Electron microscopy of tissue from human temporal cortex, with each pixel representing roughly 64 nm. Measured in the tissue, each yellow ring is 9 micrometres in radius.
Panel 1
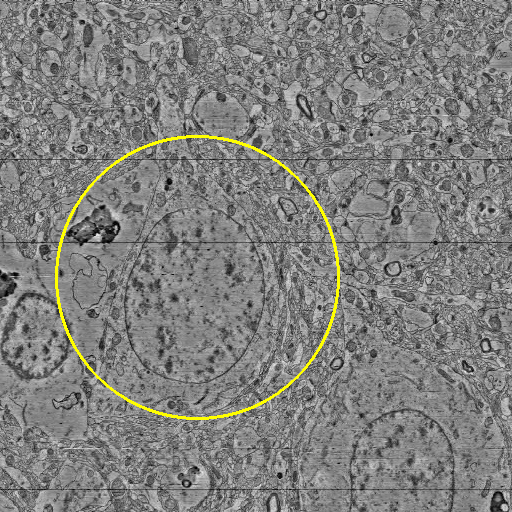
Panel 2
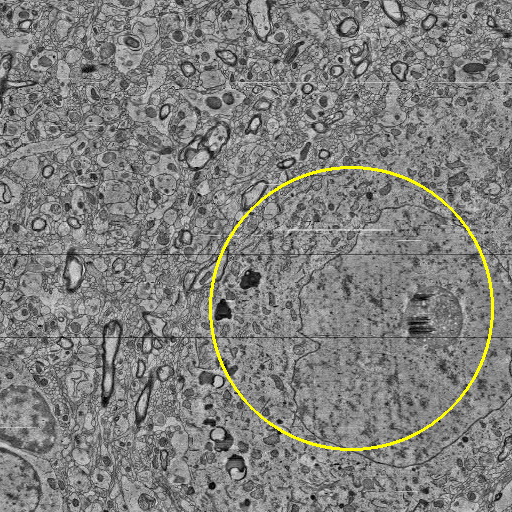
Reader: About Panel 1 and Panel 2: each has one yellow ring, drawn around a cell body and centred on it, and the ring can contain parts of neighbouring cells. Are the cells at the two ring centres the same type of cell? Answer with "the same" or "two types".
the same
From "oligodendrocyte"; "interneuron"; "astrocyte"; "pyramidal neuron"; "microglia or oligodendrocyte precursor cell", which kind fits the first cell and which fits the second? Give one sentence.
The second cell is a pyramidal neuron, just as the first is.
